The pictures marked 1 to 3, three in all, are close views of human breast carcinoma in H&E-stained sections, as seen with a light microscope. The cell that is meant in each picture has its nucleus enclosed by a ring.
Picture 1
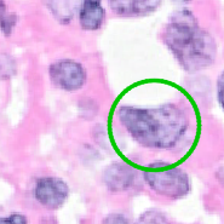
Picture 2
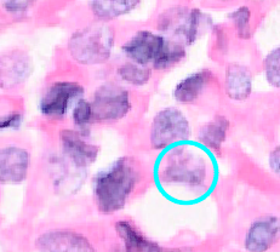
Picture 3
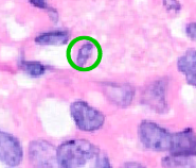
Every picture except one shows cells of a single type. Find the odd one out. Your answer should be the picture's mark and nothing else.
3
